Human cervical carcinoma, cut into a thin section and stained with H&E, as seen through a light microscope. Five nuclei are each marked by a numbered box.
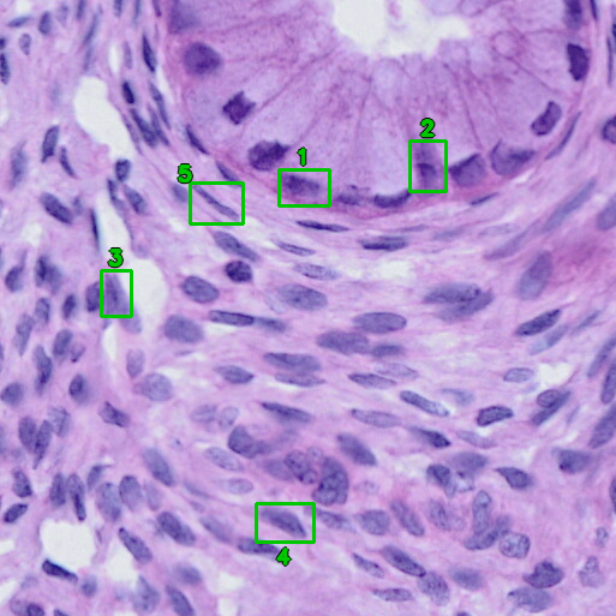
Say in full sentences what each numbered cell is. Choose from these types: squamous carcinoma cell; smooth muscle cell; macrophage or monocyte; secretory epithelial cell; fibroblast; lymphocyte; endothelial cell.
Cells 1 and 2 are secretory epithelial cells. Cell 3 is an endothelial cell. Cells 4 and 5 are fibroblasts.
